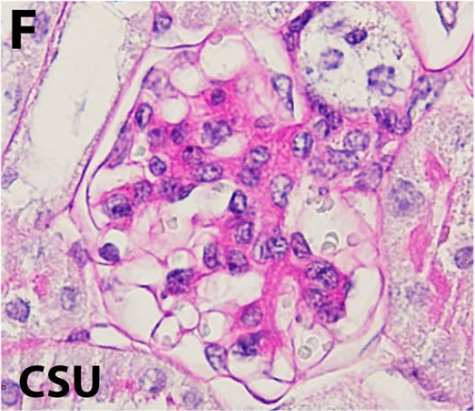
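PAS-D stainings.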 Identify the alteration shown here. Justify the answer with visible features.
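Broad branching bands of magenta matrix run through the centre of the glomerular tuft. So: mesangial expansion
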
